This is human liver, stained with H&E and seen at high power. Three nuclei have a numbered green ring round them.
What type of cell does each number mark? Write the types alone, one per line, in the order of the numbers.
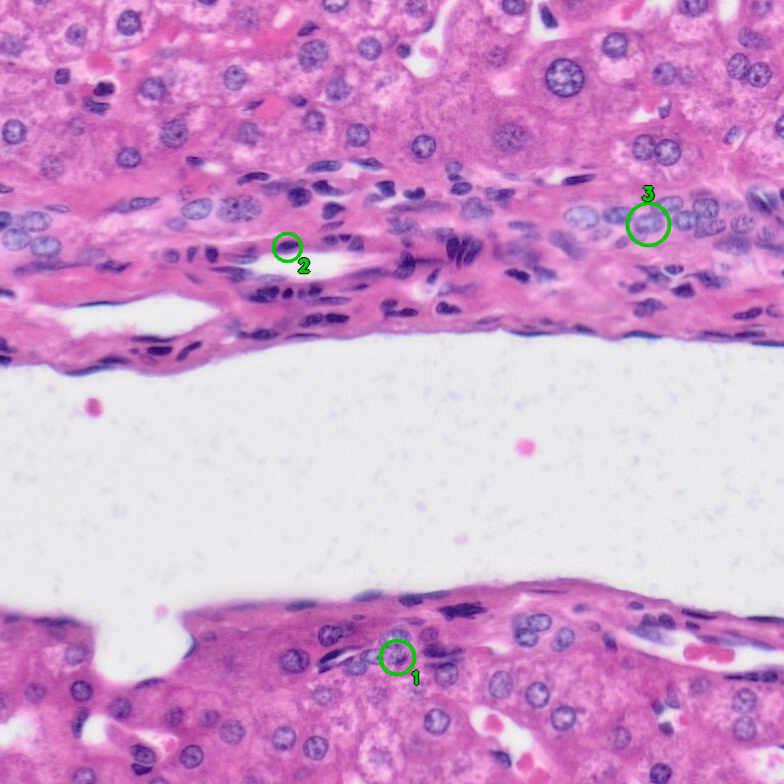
cholangiocyte
fibroblast or stellate cell
cholangiocyte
